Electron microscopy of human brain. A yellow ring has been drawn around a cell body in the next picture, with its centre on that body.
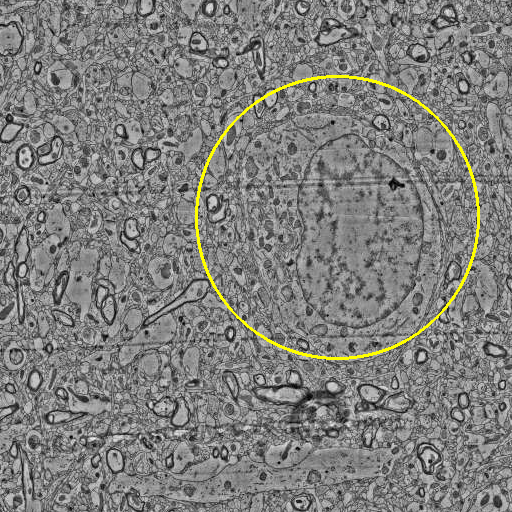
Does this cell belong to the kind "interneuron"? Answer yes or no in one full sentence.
Yes, the ringed cell in this picture, sitting at the ring's centre, is of that kind.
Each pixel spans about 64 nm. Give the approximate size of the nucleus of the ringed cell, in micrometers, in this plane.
The nucleus measures about 12 by 9 micrometres in this plane.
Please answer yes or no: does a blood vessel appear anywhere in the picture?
No, a blood vessel is absent from this picture.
